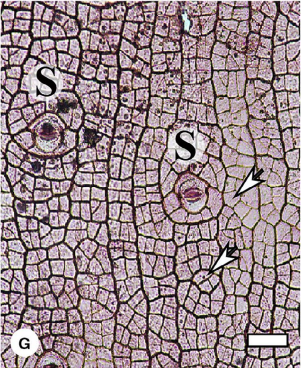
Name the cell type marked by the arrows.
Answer: Epidermal cells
